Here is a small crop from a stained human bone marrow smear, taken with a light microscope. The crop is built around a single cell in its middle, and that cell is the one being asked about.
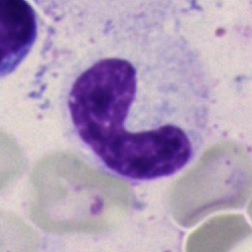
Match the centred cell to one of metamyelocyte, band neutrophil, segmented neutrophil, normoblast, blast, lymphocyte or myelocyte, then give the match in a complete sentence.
In the middle of this smear crop is a band neutrophil.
